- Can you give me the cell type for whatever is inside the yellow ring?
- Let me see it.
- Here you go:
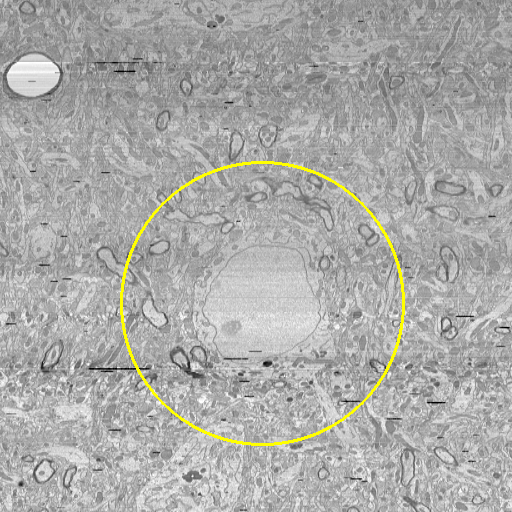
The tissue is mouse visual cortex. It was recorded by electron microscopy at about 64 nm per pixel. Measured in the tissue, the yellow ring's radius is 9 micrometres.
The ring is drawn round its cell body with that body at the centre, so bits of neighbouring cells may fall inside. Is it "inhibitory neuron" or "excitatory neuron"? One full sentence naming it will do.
The cell body in the middle of the ring in this picture belongs to an excitatory neuron.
